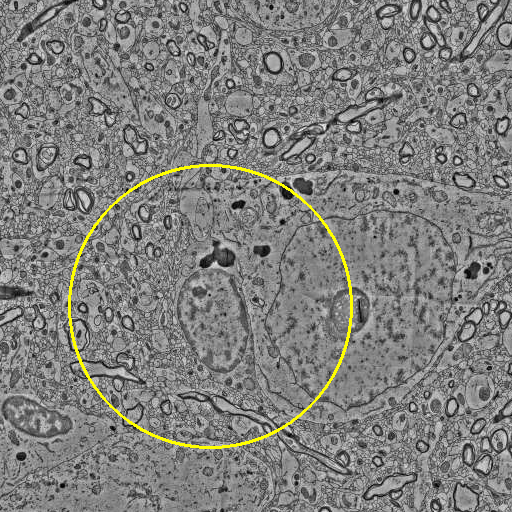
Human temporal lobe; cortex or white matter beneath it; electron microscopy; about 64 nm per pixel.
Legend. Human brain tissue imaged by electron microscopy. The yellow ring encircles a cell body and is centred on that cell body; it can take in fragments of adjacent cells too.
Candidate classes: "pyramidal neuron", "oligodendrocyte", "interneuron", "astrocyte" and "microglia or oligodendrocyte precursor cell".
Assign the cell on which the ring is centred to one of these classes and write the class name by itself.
oligodendrocyte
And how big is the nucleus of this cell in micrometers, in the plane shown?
Approximately 7 by 4 micrometers, which makes the nucleus clearly longer than it is wide in this plane.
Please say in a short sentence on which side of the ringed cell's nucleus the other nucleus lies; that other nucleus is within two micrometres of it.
The other nucleus lies to the right of it in the picture.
